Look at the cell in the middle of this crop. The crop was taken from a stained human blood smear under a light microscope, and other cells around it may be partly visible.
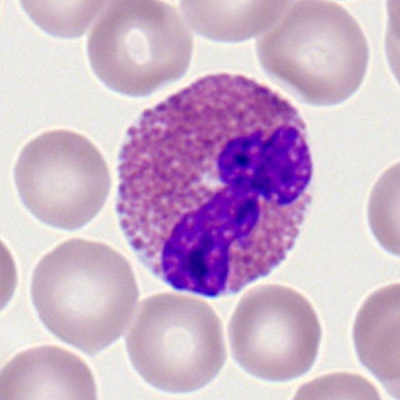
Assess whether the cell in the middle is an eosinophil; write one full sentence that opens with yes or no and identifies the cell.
Yes, the cell in the central position is an eosinophil.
